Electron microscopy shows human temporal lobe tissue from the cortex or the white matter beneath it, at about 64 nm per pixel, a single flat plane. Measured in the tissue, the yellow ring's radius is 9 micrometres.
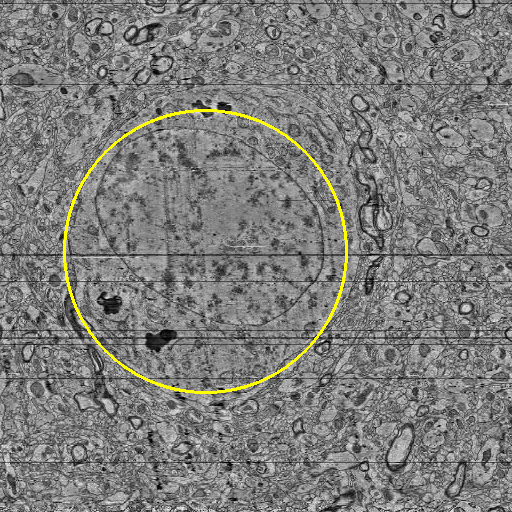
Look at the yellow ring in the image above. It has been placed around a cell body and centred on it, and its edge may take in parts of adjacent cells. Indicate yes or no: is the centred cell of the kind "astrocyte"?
no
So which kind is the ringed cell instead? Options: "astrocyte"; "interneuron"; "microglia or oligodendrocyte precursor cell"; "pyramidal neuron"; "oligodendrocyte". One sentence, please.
At the centre of the ring sits a pyramidal neuron.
